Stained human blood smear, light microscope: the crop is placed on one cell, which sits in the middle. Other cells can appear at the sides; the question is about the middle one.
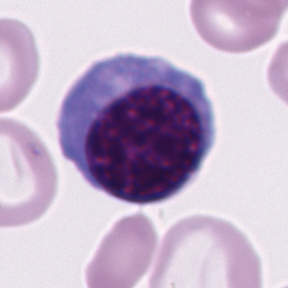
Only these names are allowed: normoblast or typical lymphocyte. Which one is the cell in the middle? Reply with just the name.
normoblast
